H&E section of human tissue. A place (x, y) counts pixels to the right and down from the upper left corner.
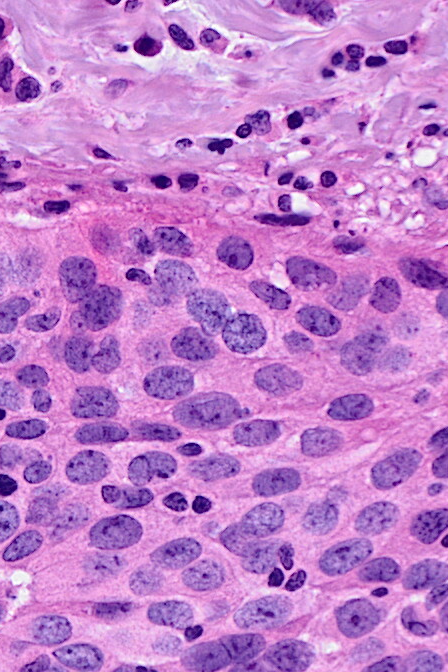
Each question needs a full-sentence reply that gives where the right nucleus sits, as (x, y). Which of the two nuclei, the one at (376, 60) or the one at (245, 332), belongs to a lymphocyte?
Which one belongs to a lymphocyte? The nucleus at (376, 60) does.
